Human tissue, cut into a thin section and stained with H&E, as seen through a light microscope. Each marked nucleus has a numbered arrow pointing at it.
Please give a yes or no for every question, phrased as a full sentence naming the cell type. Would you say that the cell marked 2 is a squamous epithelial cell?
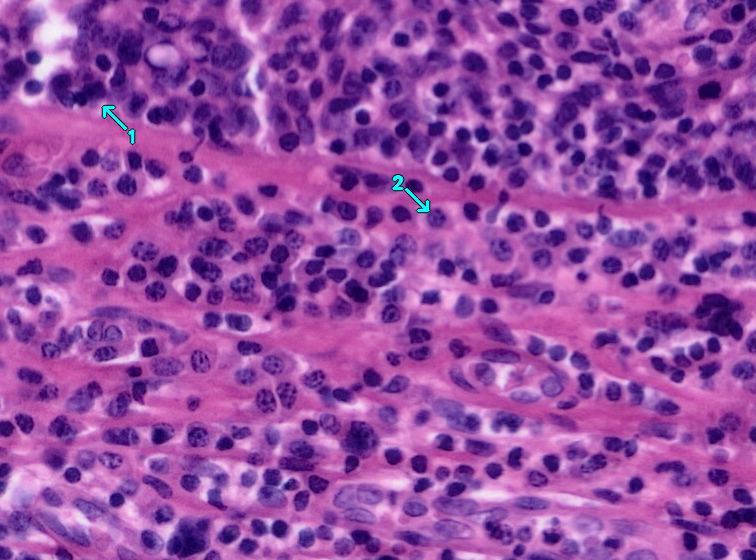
No, the cell marked 2 is a plasma cell rather than a squamous epithelial cell.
